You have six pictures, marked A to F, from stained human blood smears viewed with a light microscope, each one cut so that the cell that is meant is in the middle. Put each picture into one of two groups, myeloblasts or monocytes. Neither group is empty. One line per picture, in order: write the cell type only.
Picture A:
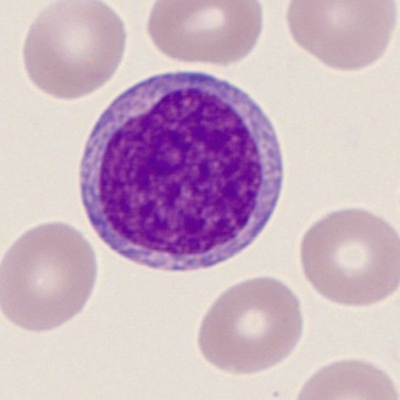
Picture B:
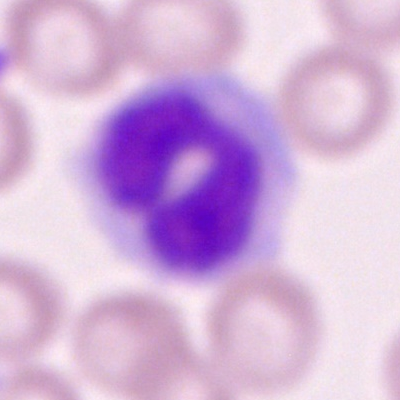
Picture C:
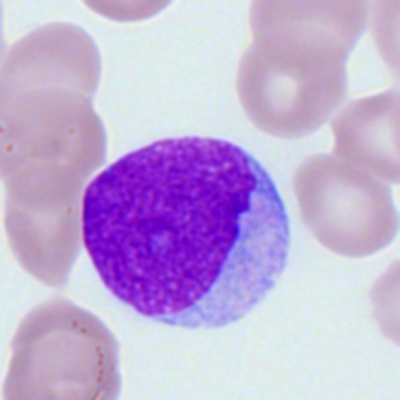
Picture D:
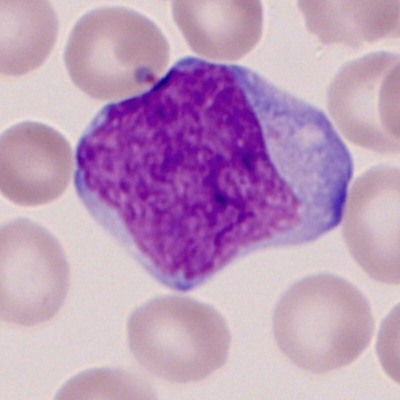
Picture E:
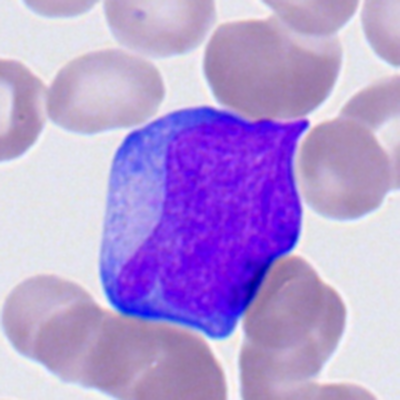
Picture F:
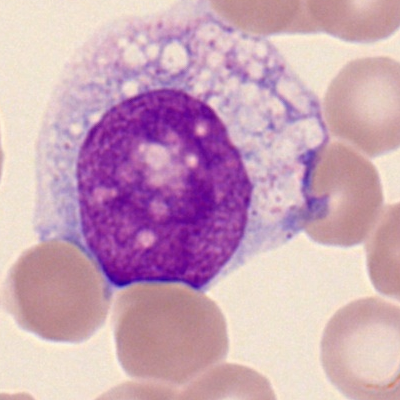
myeloblast
monocyte
myeloblast
myeloblast
myeloblast
monocyte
